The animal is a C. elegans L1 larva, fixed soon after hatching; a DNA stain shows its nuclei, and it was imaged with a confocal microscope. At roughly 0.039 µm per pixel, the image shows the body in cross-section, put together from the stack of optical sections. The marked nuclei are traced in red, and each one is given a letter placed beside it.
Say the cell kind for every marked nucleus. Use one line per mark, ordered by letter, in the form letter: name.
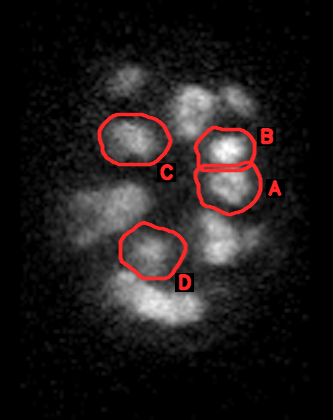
A: pharyngeal marginal cell
B: neuron
C: pharyngeal marginal cell
D: pharyngeal marginal cell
